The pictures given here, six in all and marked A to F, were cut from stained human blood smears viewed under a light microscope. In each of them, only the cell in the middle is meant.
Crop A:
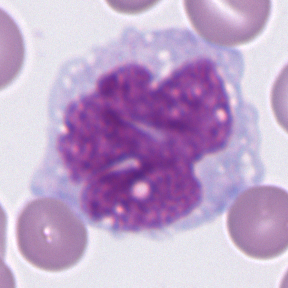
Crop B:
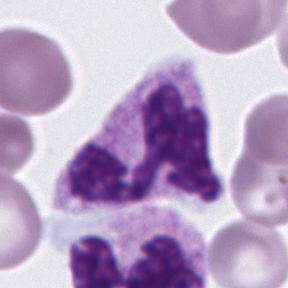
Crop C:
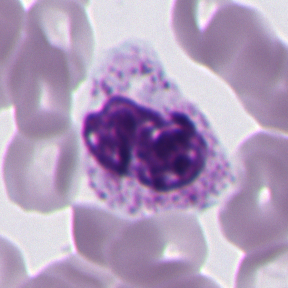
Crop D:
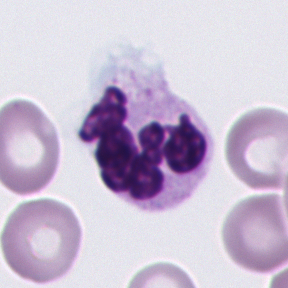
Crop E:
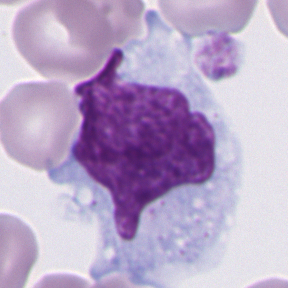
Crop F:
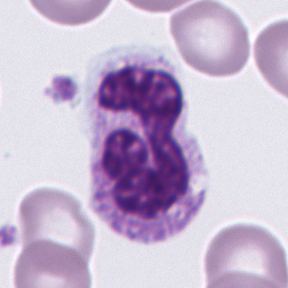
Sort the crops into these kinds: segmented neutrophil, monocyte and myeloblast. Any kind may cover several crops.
A: monocyte
B: segmented neutrophil
C: segmented neutrophil
D: segmented neutrophil
E: monocyte
F: segmented neutrophil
